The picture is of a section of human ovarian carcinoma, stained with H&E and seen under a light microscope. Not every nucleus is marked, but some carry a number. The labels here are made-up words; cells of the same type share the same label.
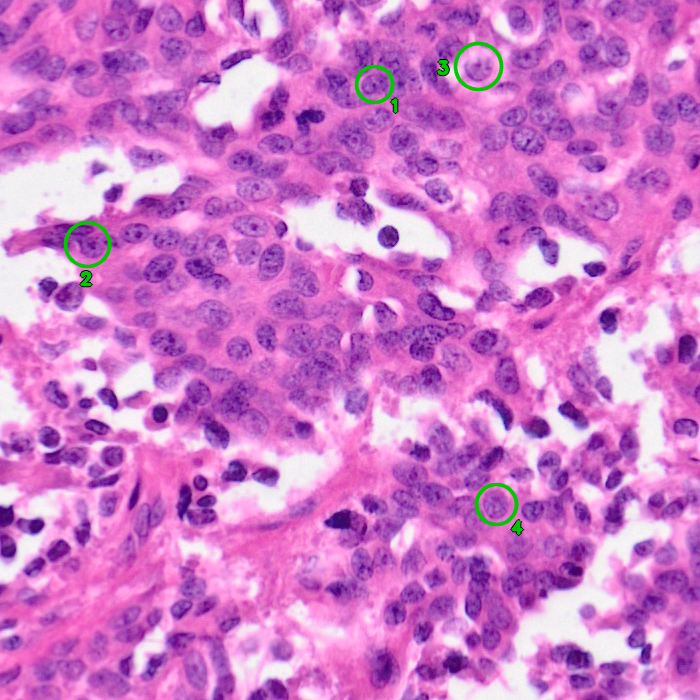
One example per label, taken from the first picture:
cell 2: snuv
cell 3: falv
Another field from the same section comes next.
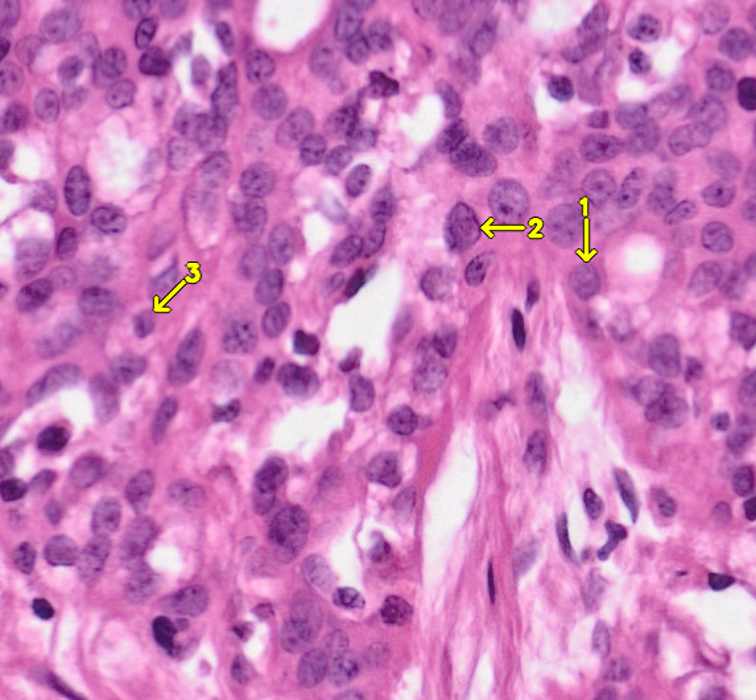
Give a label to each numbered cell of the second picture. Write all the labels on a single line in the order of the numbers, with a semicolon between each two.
snuv; snuv; falv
